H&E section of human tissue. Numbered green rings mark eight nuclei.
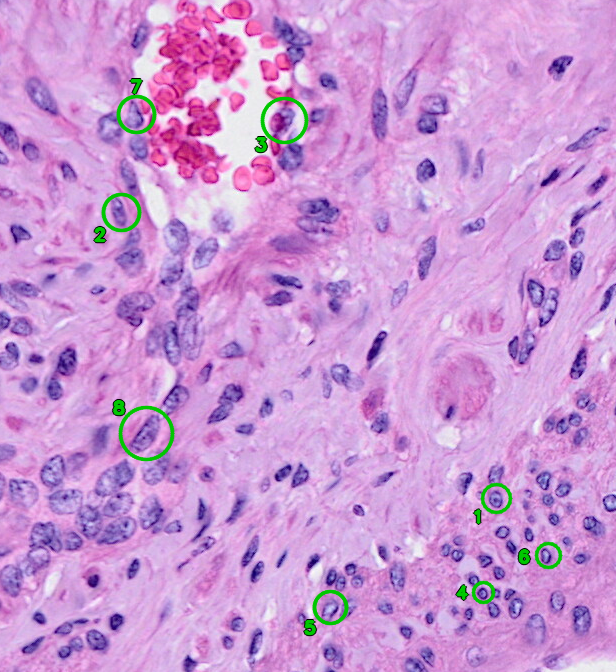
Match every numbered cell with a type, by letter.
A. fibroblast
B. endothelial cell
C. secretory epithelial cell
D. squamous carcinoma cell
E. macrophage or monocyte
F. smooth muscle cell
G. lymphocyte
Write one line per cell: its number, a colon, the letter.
1: F
2: F
3: B
4: F
5: F
6: F
7: B
8: B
